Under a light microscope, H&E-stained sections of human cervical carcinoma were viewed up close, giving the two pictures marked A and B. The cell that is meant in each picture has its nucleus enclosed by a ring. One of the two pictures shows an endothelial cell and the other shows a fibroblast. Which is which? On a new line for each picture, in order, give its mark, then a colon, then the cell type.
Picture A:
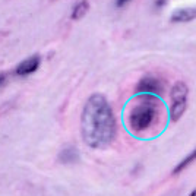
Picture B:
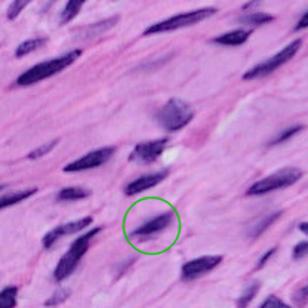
A: endothelial cell
B: fibroblast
